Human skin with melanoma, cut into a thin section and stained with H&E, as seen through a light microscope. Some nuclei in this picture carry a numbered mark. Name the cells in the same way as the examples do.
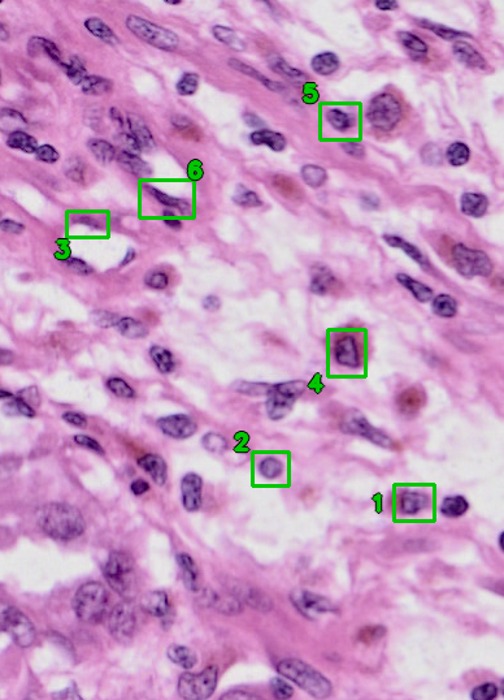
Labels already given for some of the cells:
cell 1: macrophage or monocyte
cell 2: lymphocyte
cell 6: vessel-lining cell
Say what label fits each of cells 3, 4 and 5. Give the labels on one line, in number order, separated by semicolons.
vessel-lining cell; macrophage or monocyte; lymphocyte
